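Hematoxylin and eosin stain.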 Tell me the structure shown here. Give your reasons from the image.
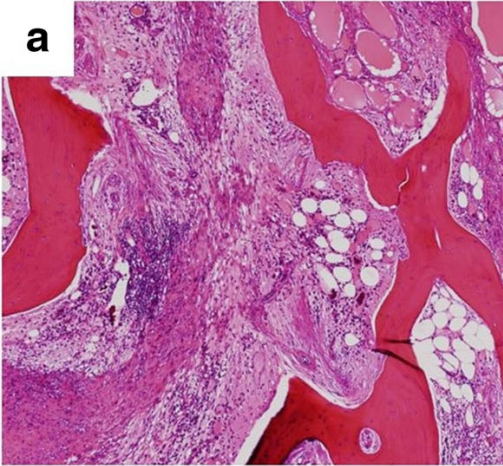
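Broad, homogeneous, deep pink bands of acellular matrix run across the field. Fatty marrow spaces with clear round vacuoles lie between the pink bands. So: trabecular bone structures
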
